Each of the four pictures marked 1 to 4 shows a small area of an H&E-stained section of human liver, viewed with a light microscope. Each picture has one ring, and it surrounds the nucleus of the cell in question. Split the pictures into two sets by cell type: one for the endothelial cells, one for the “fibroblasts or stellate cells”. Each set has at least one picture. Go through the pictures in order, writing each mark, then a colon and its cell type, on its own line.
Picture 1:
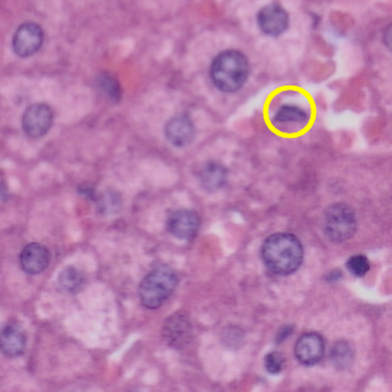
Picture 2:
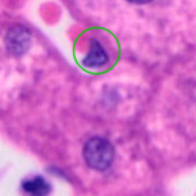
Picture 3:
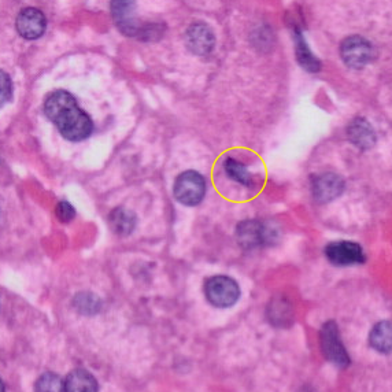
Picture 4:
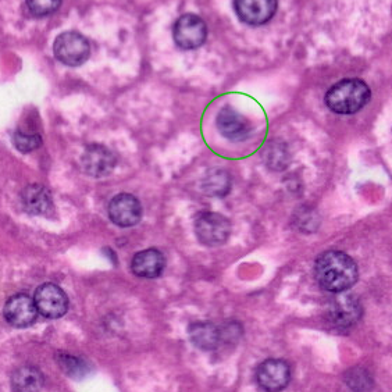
1: endothelial cell
2: endothelial cell
3: fibroblast or stellate cell
4: endothelial cell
